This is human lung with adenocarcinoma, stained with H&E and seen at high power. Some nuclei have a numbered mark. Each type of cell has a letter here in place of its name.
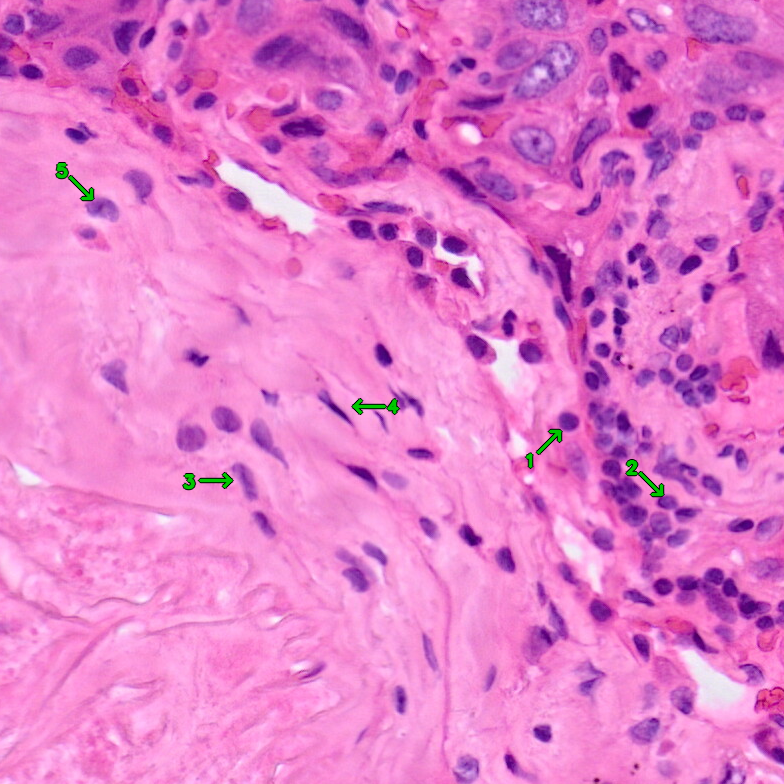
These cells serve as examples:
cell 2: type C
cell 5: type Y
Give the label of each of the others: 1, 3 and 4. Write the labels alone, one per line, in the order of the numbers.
type C
type Y
type Y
